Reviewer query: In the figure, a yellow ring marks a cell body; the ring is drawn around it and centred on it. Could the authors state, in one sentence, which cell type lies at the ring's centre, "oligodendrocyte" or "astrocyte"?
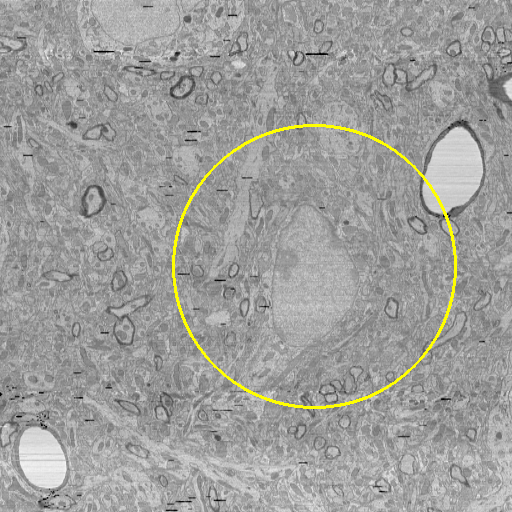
The ring is centred on an astrocyte.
